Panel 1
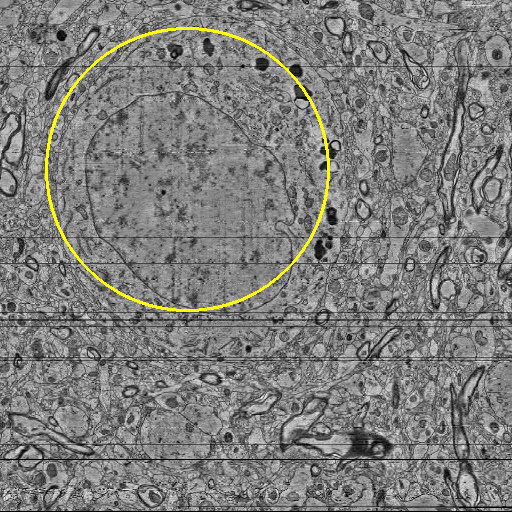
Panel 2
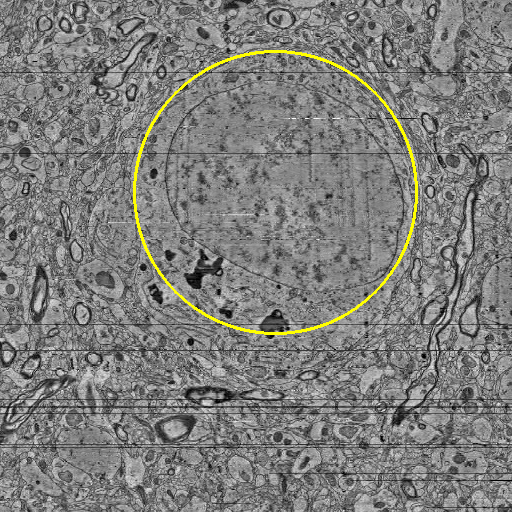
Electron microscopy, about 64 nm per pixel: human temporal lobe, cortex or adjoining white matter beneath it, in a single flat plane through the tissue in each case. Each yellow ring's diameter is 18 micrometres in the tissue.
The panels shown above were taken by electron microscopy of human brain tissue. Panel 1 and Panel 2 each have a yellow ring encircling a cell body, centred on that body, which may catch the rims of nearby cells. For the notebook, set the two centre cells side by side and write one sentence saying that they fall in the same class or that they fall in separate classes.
The centred cells of Panel 1 and Panel 2 fall in the same class.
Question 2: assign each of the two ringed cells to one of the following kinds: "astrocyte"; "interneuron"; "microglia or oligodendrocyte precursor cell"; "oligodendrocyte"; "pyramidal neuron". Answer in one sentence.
Each of the two pictures has a pyramidal neuron at the ring centre.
